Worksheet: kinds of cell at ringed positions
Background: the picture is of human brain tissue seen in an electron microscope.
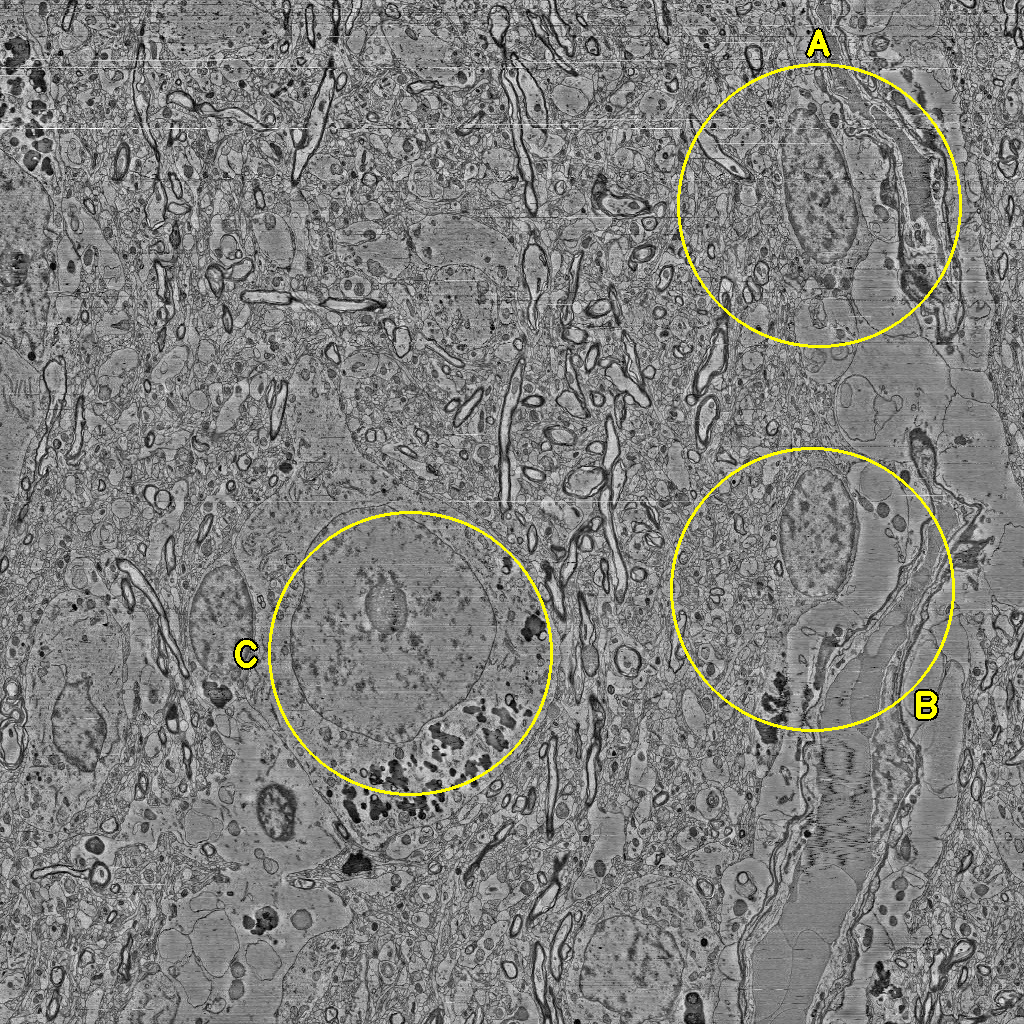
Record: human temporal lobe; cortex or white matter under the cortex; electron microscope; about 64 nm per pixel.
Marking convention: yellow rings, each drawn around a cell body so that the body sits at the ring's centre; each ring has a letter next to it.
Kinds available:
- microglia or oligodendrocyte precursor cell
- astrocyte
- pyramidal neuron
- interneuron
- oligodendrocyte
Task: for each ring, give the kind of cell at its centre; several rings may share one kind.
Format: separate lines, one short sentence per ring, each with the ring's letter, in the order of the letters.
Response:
Ring A is drawn around an oligodendrocyte.
Ring B is drawn around an oligodendrocyte.
Ring C is drawn around a pyramidal neuron.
